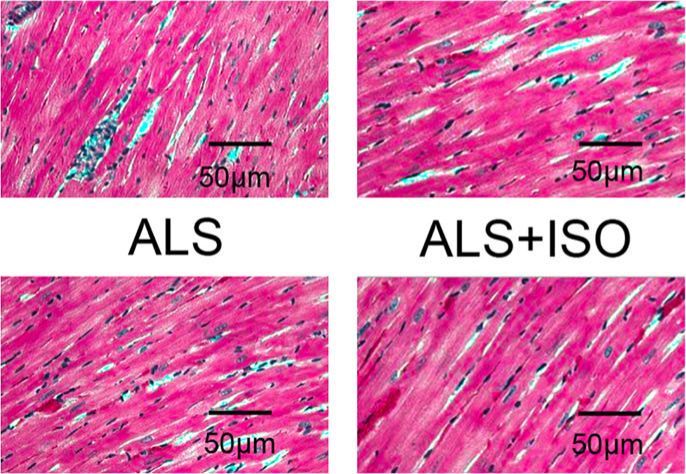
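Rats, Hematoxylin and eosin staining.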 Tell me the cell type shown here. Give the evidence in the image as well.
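Long pink-staining fibres lying parallel to one another. Elongated dark nuclei sitting within the fibres. Small pale clefts between the fibres. So: cardiomyocytes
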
